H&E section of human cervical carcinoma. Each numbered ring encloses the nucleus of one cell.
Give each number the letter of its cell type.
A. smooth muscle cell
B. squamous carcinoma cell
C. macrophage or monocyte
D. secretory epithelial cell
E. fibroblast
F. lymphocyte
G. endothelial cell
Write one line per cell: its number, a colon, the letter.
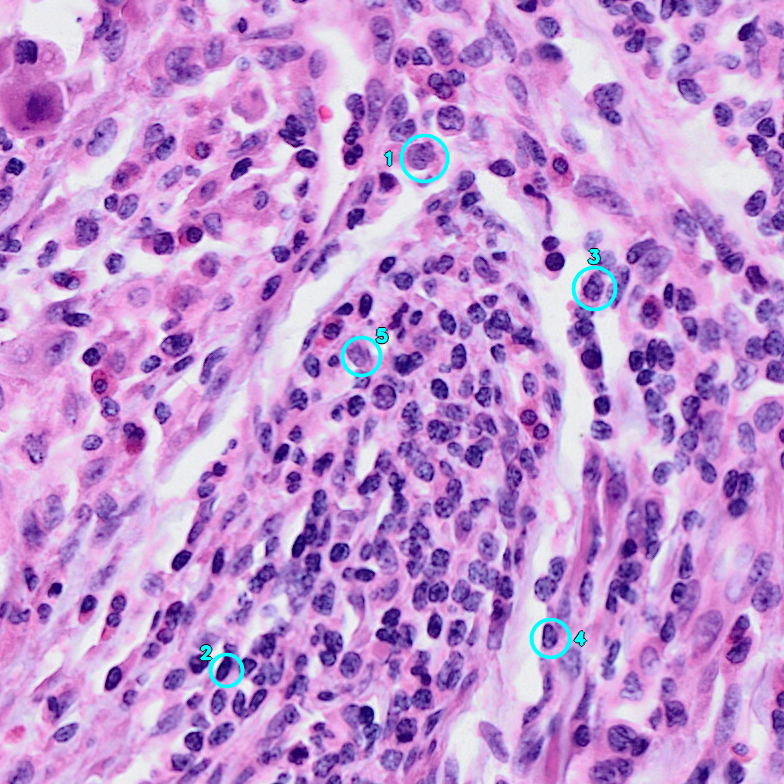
1: C
2: F
3: F
4: F
5: C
